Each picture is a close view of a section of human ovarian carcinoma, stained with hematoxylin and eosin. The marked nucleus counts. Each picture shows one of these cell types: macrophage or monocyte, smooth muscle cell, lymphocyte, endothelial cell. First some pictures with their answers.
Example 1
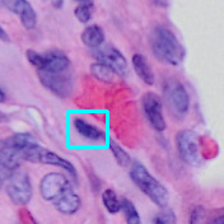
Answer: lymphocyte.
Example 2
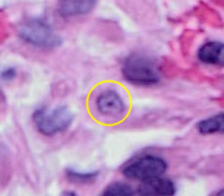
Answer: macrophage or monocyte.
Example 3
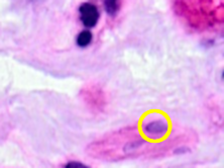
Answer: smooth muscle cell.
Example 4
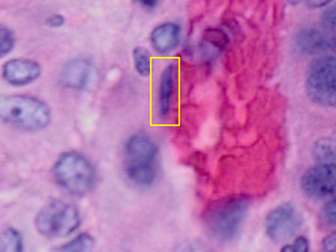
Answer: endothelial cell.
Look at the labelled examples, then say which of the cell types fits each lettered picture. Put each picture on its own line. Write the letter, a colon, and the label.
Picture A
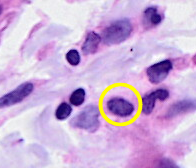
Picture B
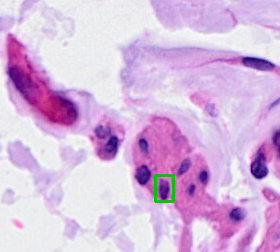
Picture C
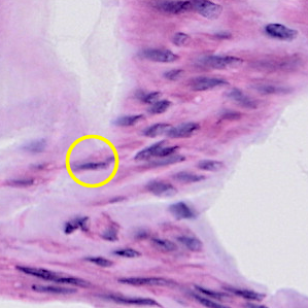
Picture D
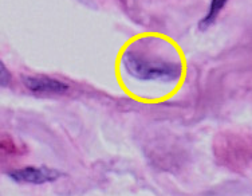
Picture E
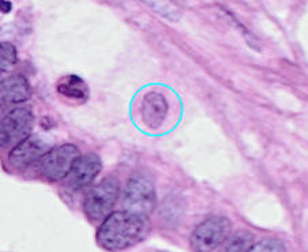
A: lymphocyte.
B: smooth muscle cell.
C: smooth muscle cell.
D: endothelial cell.
E: macrophage or monocyte.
